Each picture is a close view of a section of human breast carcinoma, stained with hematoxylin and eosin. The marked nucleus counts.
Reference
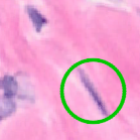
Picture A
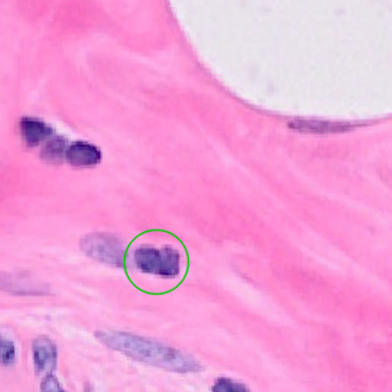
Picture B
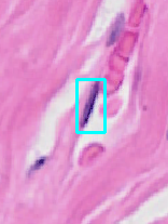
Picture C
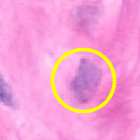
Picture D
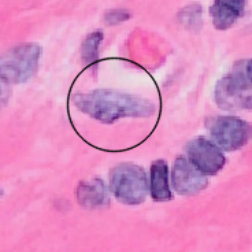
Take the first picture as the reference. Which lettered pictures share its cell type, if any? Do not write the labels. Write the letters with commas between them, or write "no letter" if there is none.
C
